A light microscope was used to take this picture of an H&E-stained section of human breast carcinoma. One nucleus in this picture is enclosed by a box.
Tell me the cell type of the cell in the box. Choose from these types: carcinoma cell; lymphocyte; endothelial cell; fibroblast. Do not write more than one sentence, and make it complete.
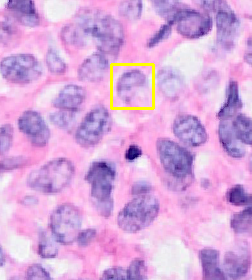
The classification of the cell in the box is as a carcinoma cell.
